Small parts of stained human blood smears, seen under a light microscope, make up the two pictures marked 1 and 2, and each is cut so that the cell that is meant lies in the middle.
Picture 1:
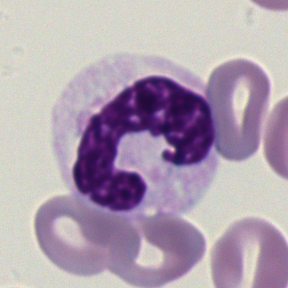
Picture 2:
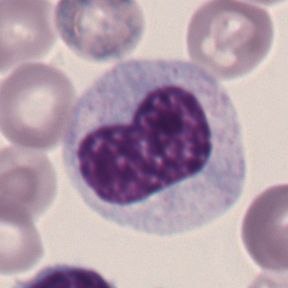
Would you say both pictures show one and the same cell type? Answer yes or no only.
no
